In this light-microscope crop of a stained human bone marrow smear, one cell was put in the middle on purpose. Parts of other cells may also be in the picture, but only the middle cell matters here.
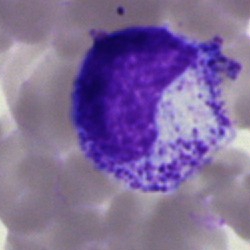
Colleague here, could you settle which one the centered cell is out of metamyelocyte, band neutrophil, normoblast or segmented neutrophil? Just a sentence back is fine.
The cell nearest the centre of this crop is a metamyelocyte.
